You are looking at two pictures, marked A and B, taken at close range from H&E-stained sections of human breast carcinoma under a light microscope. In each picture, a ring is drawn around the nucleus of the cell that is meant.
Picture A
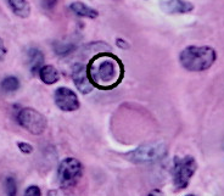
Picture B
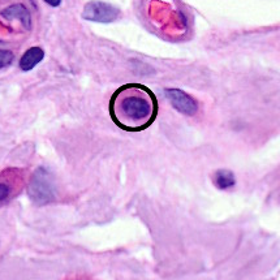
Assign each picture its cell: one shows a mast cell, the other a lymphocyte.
A: lymphocyte
B: mast cell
